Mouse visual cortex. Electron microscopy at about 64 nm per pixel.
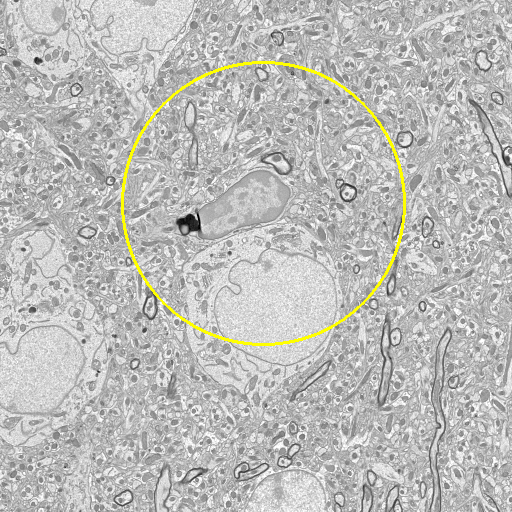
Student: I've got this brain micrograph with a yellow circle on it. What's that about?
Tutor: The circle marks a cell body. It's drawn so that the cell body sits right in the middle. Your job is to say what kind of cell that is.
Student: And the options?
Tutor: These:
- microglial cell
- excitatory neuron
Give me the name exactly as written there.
microglial cell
